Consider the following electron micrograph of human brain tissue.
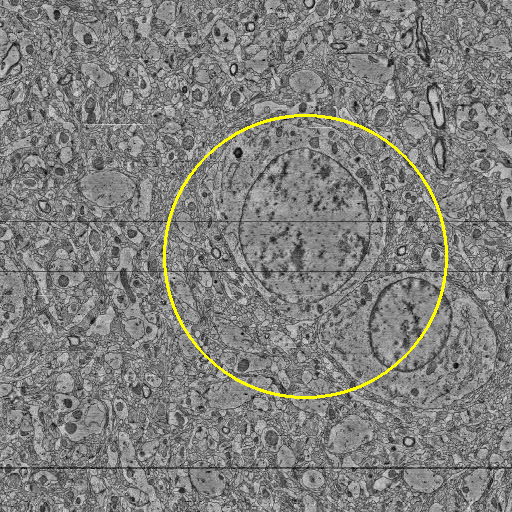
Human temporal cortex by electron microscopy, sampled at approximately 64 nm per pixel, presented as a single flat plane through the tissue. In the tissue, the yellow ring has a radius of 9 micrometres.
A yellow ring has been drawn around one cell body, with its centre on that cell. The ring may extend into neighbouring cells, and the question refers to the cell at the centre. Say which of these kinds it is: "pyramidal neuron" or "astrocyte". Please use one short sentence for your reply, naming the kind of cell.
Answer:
The centre of the ring falls on a pyramidal neuron.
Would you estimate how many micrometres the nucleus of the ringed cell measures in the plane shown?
In this plane, the nucleus is roughly 10 by 8 micrometres.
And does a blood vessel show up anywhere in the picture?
No, none appears.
